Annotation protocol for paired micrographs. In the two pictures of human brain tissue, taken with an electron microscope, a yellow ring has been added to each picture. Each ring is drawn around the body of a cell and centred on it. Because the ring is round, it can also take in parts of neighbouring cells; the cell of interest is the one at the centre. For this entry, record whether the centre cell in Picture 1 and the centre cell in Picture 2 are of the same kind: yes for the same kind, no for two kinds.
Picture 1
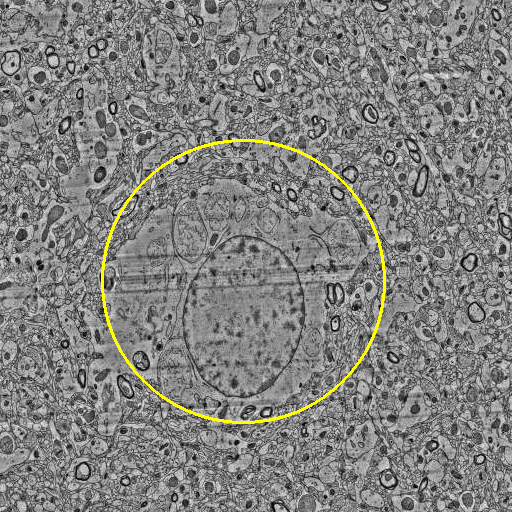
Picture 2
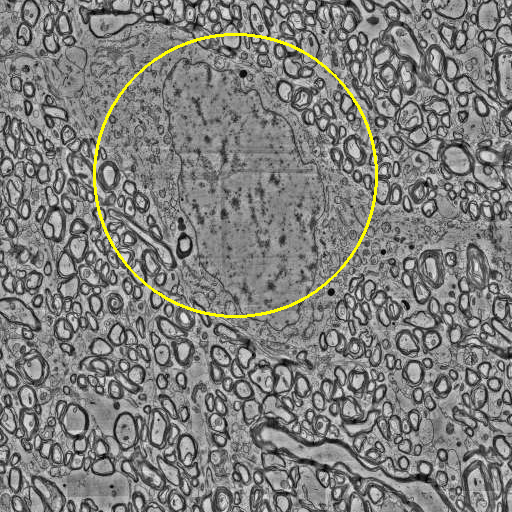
no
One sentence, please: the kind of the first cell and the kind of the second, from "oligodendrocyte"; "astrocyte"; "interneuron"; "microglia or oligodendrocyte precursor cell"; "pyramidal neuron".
The ring in the first picture surrounds an astrocyte, and the ring in the second surrounds a pyramidal neuron.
